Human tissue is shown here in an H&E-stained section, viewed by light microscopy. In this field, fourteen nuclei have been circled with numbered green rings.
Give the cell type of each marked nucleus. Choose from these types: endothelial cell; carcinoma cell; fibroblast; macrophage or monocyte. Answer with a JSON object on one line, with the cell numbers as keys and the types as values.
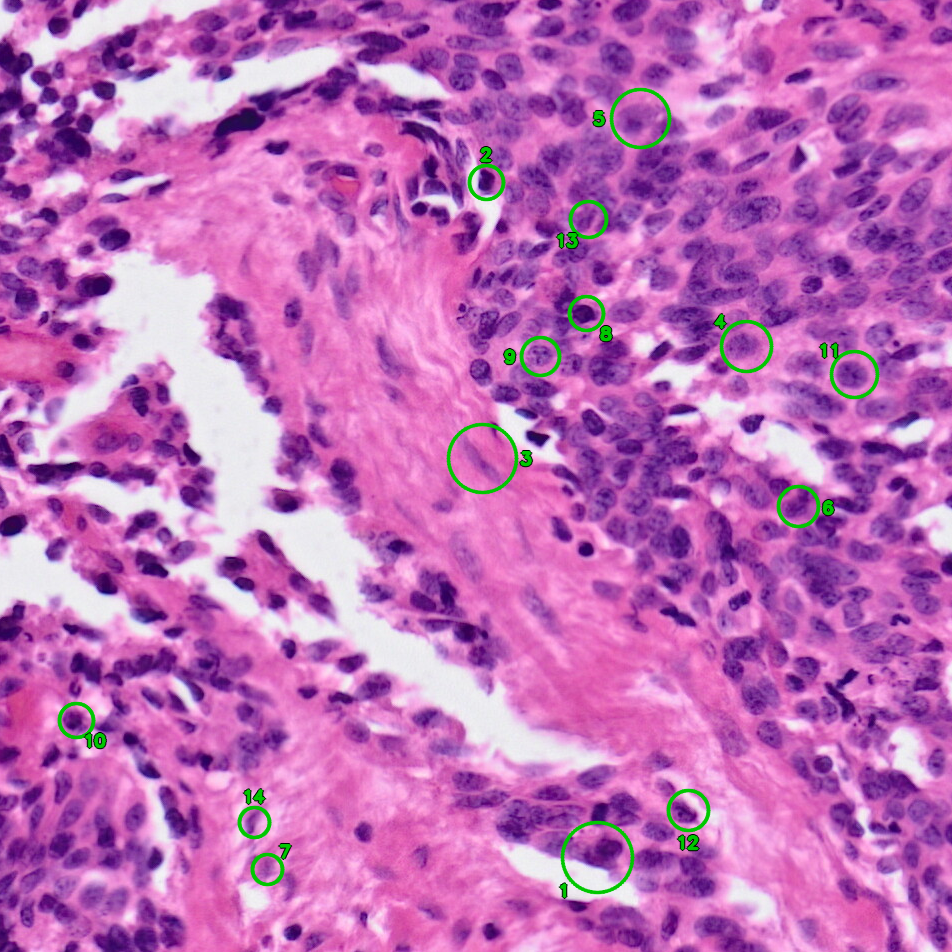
{"1": "carcinoma cell", "2": "carcinoma cell", "3": "fibroblast", "4": "carcinoma cell", "5": "carcinoma cell", "6": "carcinoma cell", "7": "fibroblast", "8": "carcinoma cell", "9": "macrophage or monocyte", "10": "macrophage or monocyte", "11": "carcinoma cell", "12": "macrophage or monocyte", "13": "carcinoma cell", "14": "fibroblast"}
